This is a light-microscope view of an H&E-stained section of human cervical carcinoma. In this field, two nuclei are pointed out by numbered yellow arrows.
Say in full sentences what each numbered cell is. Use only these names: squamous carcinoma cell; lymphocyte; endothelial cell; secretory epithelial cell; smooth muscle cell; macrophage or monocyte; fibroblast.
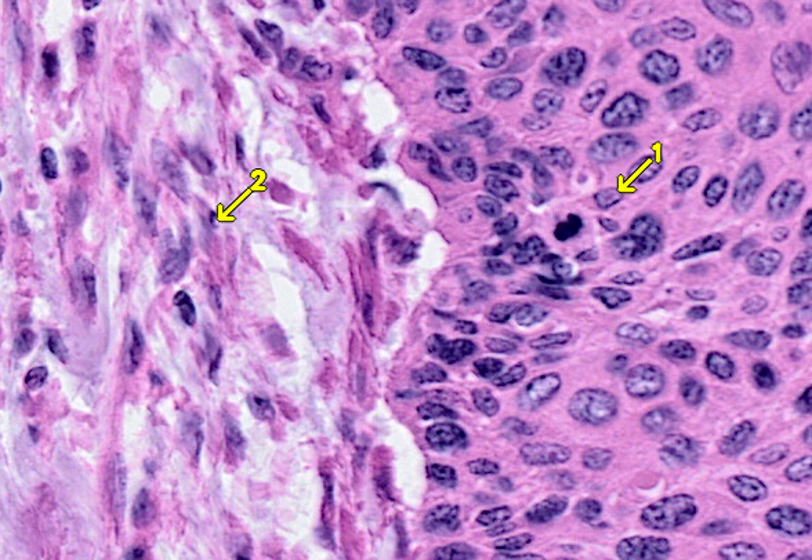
Cell 1 is a squamous carcinoma cell and cell 2 is a fibroblast.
